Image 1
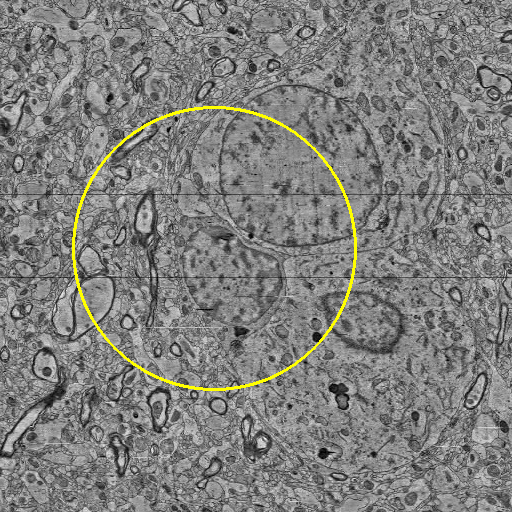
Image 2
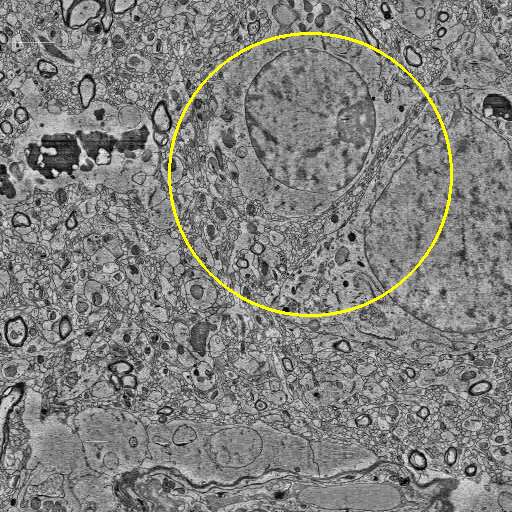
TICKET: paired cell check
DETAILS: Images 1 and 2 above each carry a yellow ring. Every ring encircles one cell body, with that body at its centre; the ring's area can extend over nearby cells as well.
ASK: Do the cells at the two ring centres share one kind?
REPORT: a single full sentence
No, the ring-centre cells of Images 1 and 2 belong to two kinds.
